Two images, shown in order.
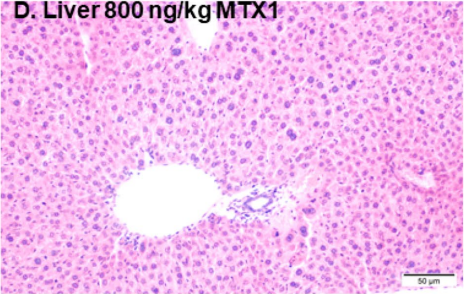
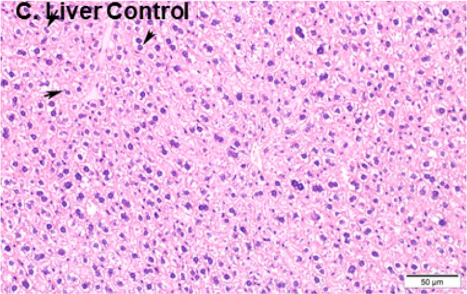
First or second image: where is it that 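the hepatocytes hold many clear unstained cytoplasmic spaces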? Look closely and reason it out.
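First image: hepatocyte cytoplasm is fairly evenly pink with few clear spaces. Second image: hepatocyte cytoplasm looks pale and reticulated with many small unstained spaces.
Hence: the second image.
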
